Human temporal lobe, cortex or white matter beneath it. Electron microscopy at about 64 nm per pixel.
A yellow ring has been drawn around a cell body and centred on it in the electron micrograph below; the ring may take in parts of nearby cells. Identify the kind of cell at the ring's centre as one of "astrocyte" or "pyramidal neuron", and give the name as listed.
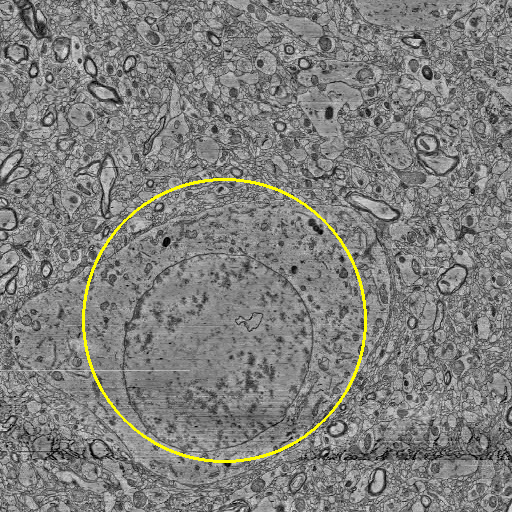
pyramidal neuron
